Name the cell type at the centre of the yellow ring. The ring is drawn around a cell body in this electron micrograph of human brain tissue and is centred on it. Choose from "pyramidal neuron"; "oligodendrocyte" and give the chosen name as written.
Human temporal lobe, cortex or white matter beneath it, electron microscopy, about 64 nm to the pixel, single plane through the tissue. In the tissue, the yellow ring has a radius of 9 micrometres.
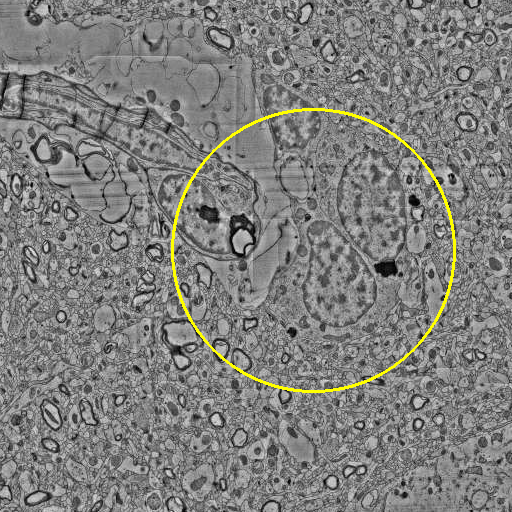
oligodendrocyte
